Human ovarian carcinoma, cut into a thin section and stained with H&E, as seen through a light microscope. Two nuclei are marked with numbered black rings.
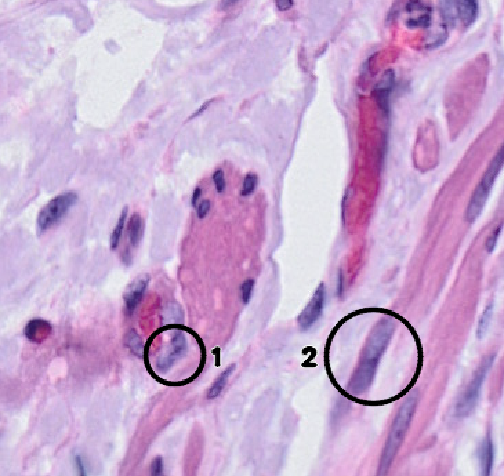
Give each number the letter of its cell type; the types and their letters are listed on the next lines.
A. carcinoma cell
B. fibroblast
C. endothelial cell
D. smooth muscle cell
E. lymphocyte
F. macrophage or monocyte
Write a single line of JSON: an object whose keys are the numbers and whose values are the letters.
{"1": "C", "2": "D"}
